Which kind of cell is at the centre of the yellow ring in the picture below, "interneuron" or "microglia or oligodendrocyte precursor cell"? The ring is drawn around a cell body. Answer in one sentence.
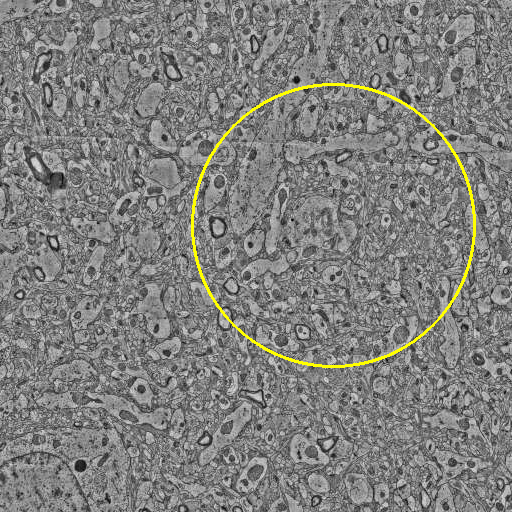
The ring's central cell is a microglial cell or oligodendrocyte precursor cell.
